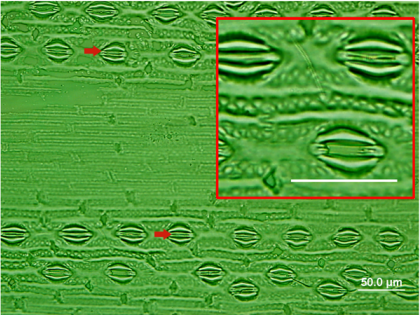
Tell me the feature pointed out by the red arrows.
Stomata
